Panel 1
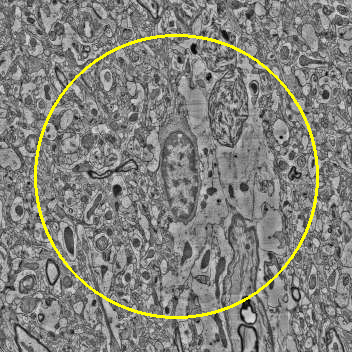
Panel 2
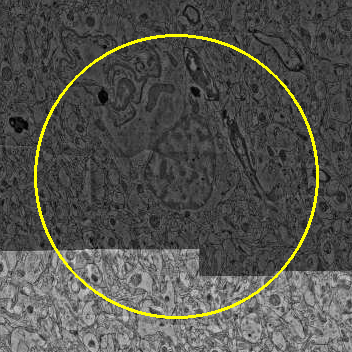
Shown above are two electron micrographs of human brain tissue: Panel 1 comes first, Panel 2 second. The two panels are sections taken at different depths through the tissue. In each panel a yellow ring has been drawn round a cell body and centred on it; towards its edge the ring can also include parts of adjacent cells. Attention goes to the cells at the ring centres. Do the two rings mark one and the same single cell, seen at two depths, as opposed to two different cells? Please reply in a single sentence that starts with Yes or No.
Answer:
No, the two circled cells are distinct from one another.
